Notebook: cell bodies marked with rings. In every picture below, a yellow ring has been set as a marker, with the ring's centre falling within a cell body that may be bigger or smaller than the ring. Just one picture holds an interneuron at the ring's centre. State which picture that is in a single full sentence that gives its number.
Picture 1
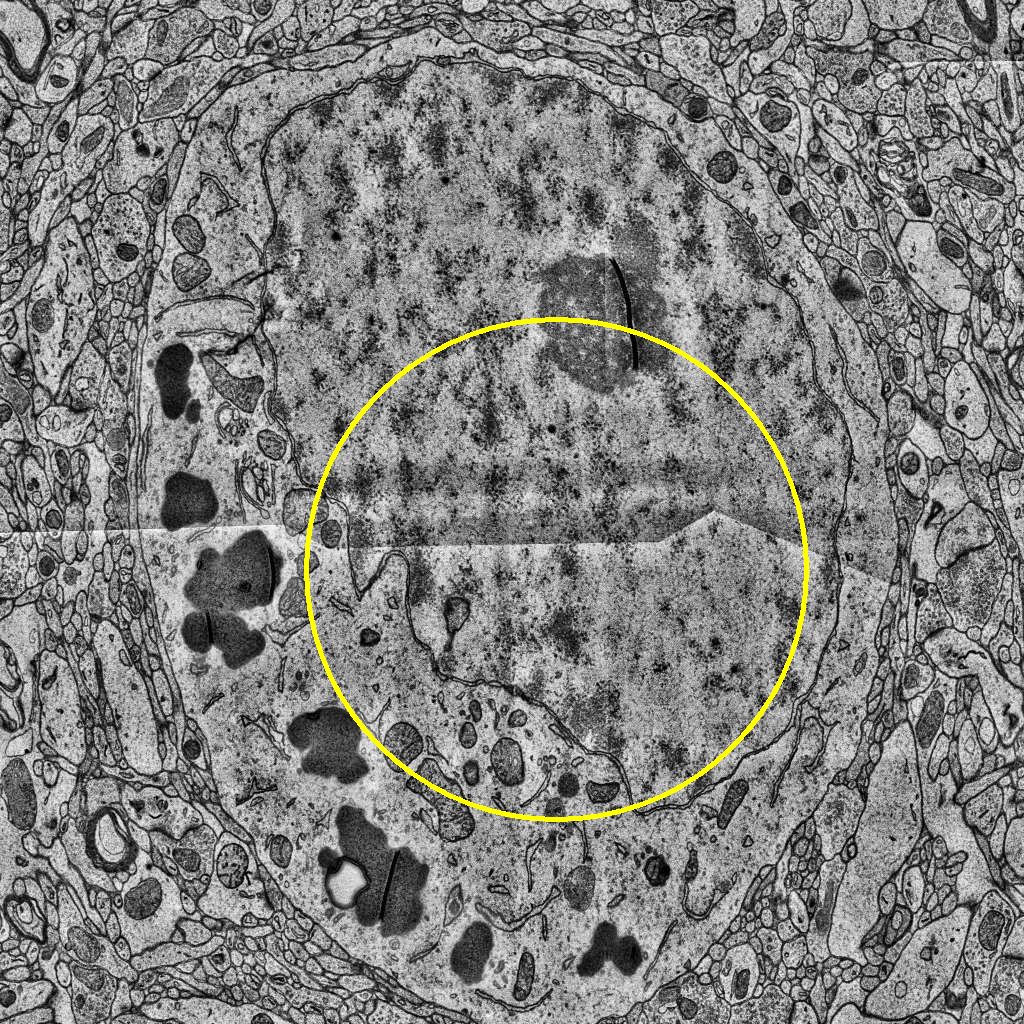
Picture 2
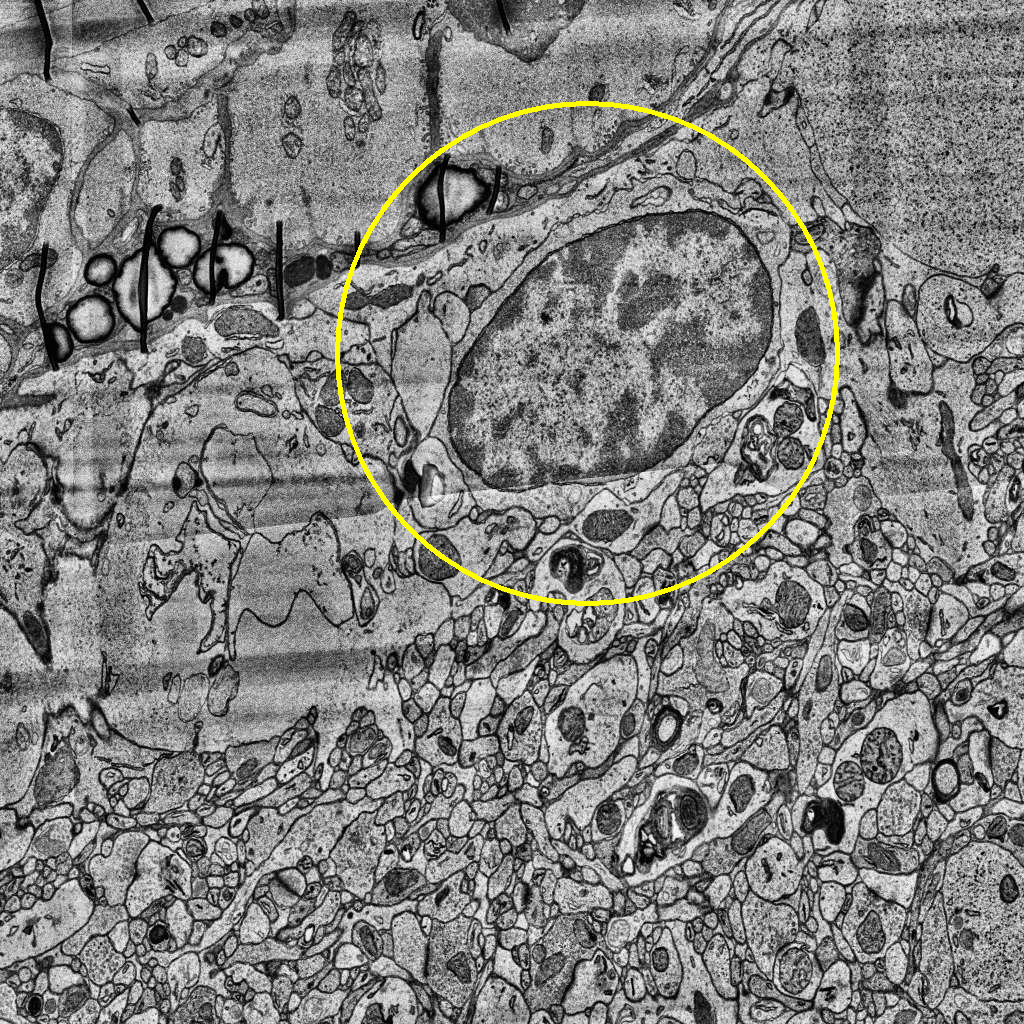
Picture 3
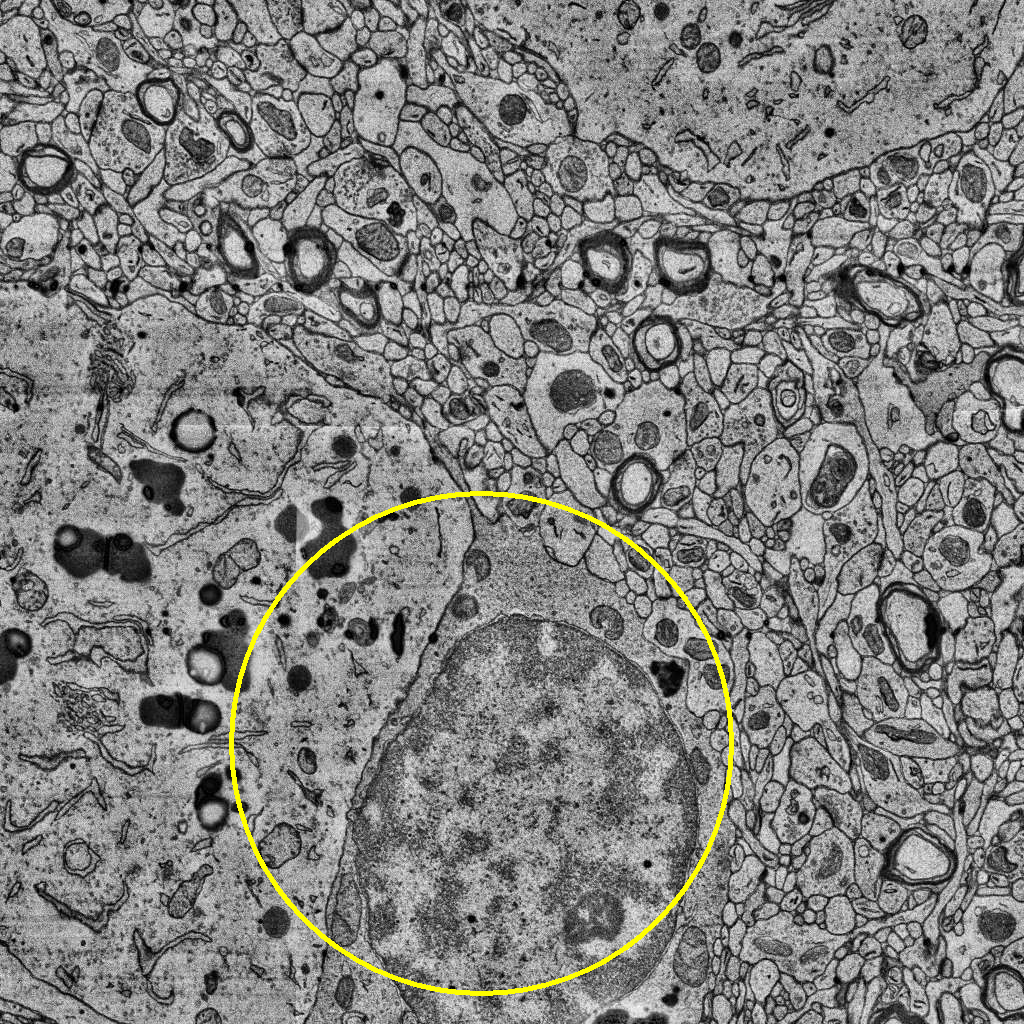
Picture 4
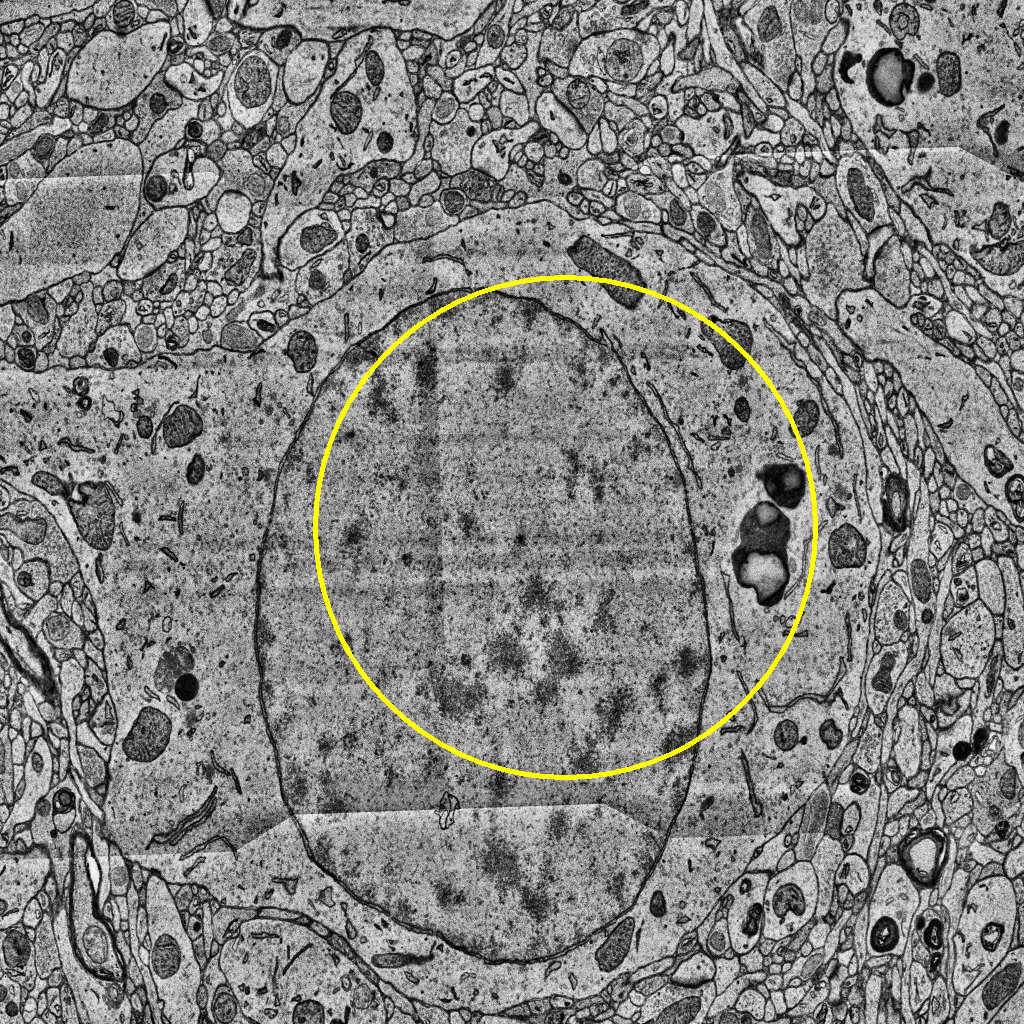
It is picture 1 whose ring has the wanted cell right at its centre.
